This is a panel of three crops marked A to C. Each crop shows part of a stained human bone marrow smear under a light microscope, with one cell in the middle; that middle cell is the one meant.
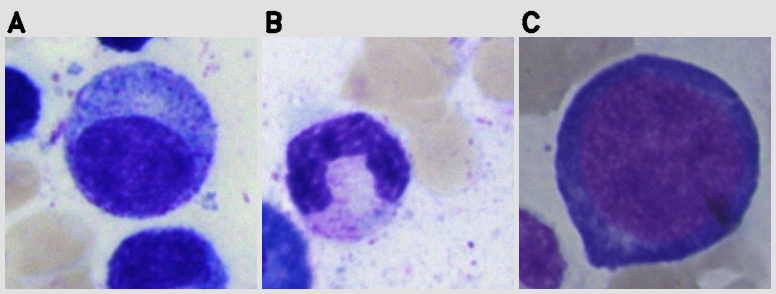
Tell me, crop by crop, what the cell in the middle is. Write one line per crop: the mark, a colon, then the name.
A: promyelocyte
B: band neutrophil
C: proerythroblast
